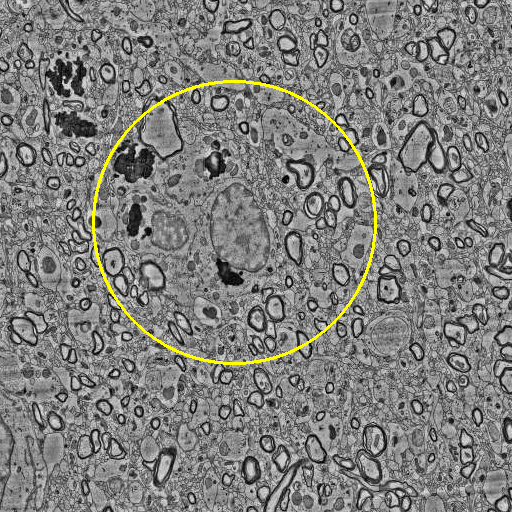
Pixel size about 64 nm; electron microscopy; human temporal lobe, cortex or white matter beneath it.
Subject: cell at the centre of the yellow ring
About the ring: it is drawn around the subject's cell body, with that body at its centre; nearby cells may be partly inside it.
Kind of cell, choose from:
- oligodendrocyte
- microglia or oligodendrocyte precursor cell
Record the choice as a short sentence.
The subject cell is an oligodendrocyte.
